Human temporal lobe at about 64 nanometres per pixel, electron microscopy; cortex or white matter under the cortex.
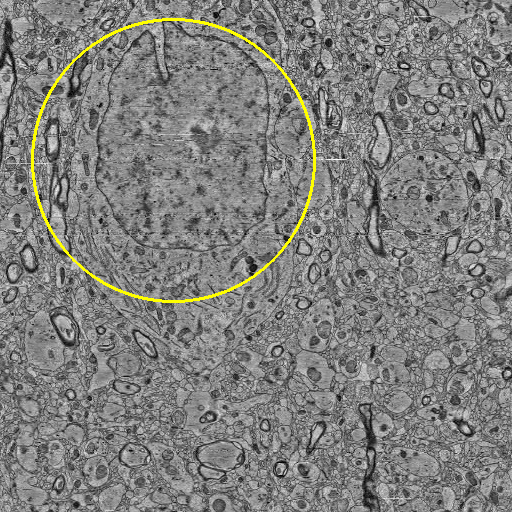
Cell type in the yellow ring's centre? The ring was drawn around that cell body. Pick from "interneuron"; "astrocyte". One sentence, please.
The ringed cell body is that of an interneuron.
